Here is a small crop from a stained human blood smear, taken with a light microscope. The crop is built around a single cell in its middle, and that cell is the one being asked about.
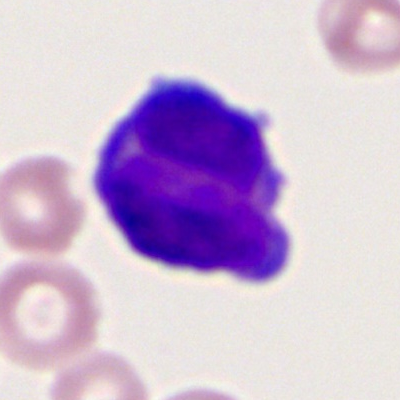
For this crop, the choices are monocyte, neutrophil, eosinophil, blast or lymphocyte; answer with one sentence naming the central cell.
In this crop, the cell at the very middle is a blast.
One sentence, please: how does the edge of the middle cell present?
Not smooth, the outline of the cell is ragged or drawn out into projections.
